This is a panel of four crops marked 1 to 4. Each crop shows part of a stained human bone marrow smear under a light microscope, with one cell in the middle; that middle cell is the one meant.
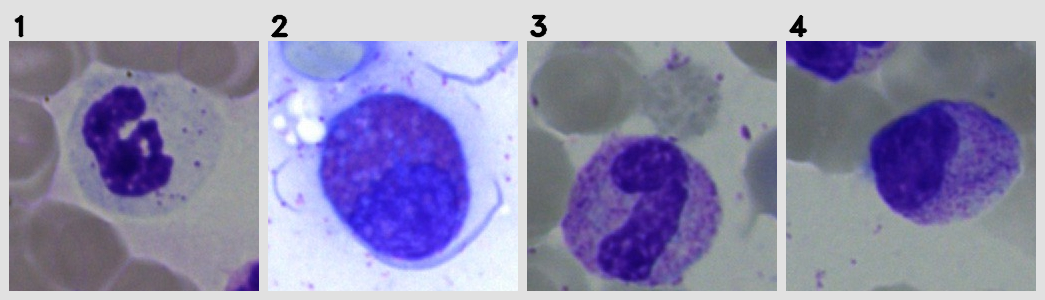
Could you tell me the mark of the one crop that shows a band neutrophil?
3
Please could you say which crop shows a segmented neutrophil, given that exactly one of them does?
1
